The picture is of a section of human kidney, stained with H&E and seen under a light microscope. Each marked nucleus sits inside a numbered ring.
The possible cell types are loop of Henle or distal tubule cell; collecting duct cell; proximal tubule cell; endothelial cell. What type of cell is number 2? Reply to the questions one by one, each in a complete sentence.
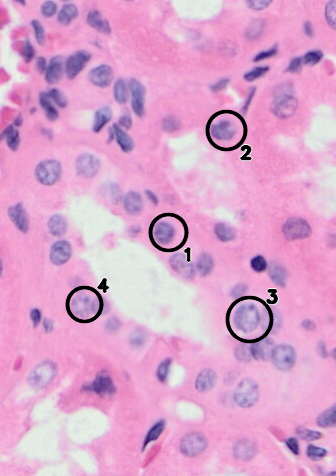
Classified as a loop of Henle or distal tubule cell is the cell with the number 2.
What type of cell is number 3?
Among the marked nuclei, number 3 belongs to a collecting duct cell.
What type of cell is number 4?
The nucleus marked 4 is the nucleus of a collecting duct cell.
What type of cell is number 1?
The cell identified by number 1 is a collecting duct cell.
